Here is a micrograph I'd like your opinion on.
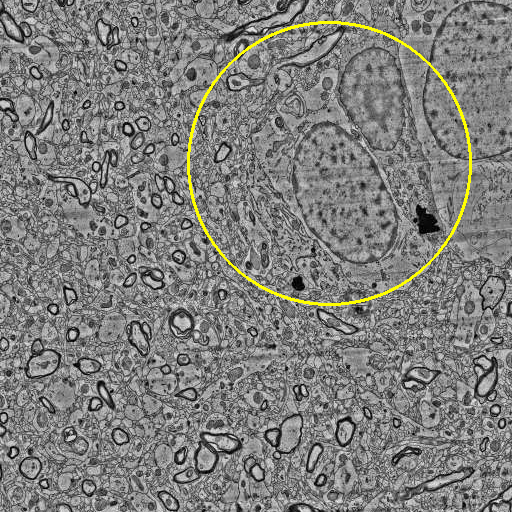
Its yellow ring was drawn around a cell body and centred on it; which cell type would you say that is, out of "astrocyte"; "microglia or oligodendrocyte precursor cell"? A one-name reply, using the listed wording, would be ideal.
microglia or oligodendrocyte precursor cell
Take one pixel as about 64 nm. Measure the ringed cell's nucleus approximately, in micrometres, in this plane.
At approximately 9 by 6 micrometres, the nucleus is clearly longer than it is wide in this plane.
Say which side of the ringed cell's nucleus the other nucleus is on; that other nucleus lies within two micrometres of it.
The other nucleus can be seen above it.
